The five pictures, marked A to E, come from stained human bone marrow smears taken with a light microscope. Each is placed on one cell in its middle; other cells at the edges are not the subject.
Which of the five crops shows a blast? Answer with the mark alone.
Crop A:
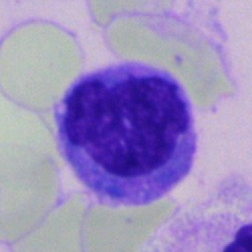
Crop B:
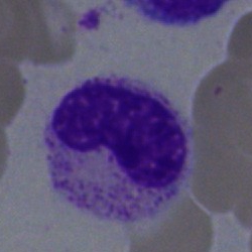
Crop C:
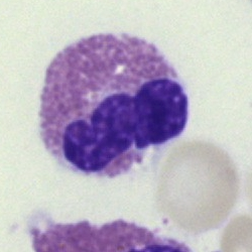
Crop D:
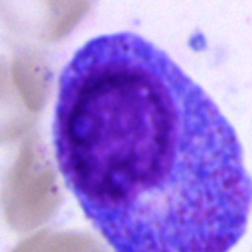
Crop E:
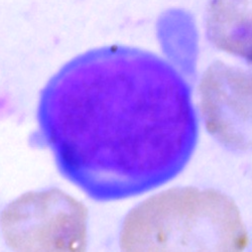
E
